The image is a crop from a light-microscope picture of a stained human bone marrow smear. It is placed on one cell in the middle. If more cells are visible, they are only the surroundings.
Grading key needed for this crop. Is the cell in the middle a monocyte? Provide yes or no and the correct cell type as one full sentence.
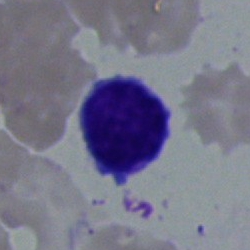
No, the cell in the middle is correctly named a lymphocyte, not a monocyte.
